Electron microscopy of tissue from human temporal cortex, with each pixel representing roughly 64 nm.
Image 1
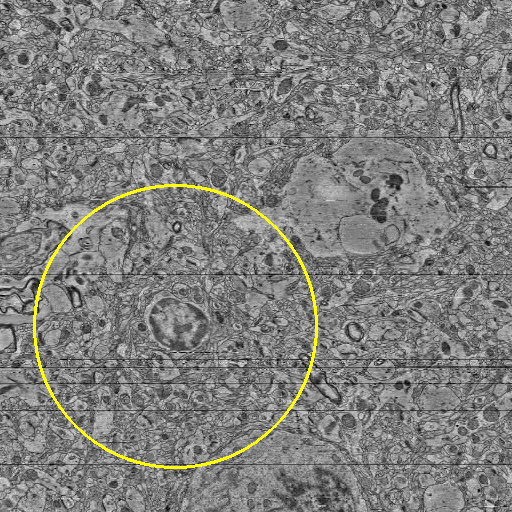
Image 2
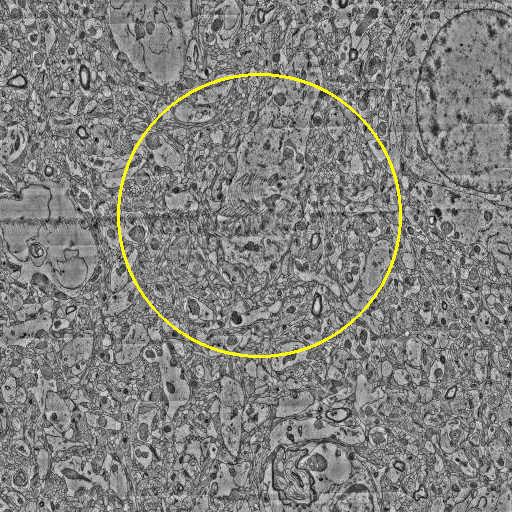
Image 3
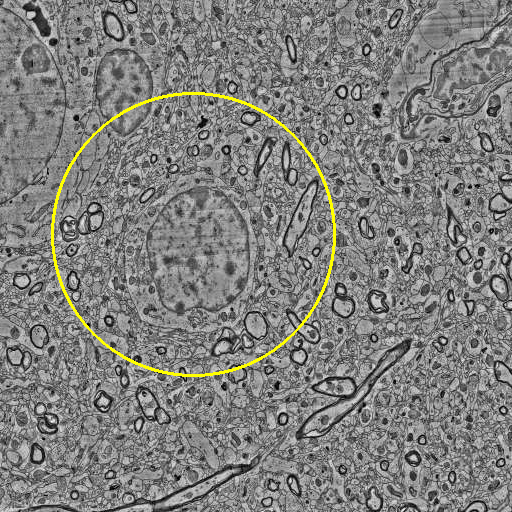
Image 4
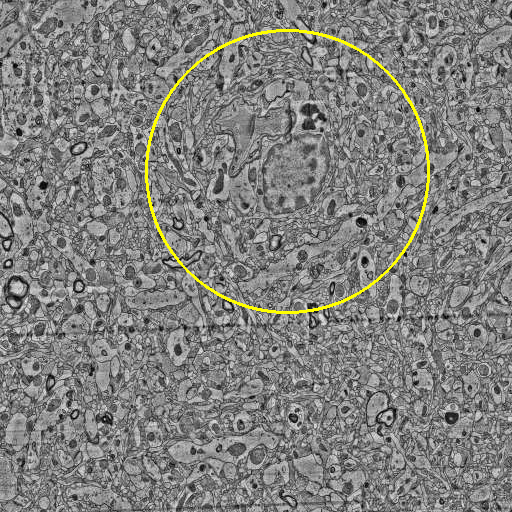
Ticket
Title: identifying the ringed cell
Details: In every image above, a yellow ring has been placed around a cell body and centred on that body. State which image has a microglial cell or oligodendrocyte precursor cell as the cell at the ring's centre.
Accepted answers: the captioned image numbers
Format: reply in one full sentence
The ring in image 1 is centred on the cell in question.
